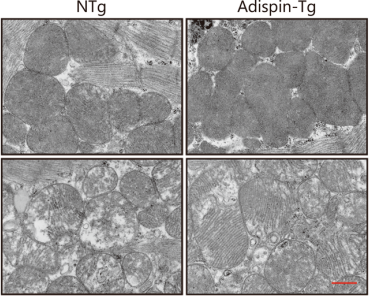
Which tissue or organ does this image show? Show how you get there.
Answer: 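Parallel bundles of striated myofilaments run between the organelles. Organelles are densely packed between the filament bundles.
Conclusion: myocardium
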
